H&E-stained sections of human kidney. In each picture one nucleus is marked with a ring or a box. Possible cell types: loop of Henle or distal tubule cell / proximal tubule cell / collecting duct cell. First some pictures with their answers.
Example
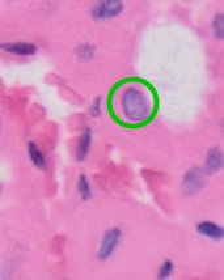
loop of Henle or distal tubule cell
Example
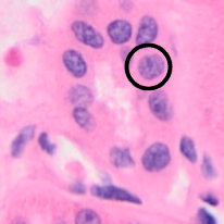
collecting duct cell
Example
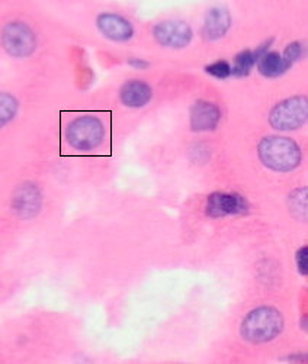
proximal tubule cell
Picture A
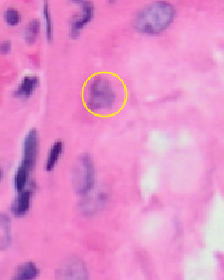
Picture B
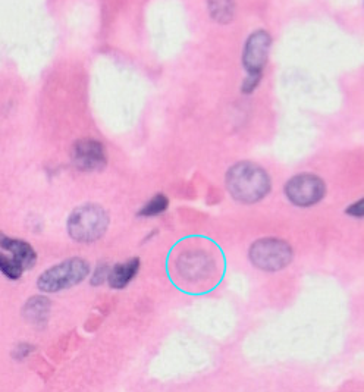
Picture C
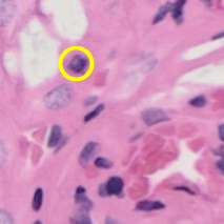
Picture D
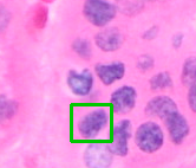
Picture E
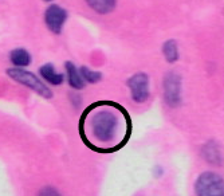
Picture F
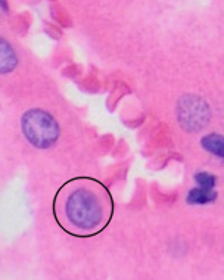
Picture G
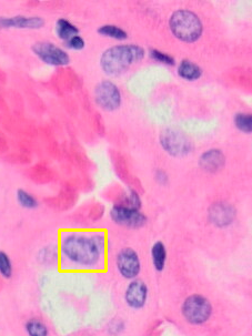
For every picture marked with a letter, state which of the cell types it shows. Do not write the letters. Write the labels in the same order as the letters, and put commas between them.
proximal tubule cell, proximal tubule cell, loop of Henle or distal tubule cell, collecting duct cell, loop of Henle or distal tubule cell, proximal tubule cell, collecting duct cell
